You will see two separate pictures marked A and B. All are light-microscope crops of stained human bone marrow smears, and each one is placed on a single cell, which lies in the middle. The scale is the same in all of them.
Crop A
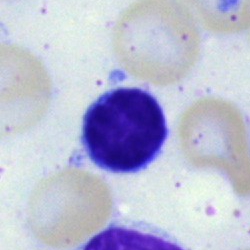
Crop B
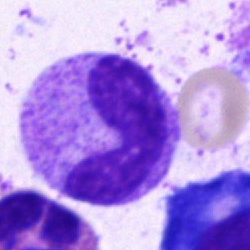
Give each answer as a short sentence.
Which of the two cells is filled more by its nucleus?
Of the two, the nucleus in crop A makes up the greater part of its cell.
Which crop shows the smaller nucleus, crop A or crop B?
The nucleus in crop A is smaller; the one in crop B has about 2 times its area.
